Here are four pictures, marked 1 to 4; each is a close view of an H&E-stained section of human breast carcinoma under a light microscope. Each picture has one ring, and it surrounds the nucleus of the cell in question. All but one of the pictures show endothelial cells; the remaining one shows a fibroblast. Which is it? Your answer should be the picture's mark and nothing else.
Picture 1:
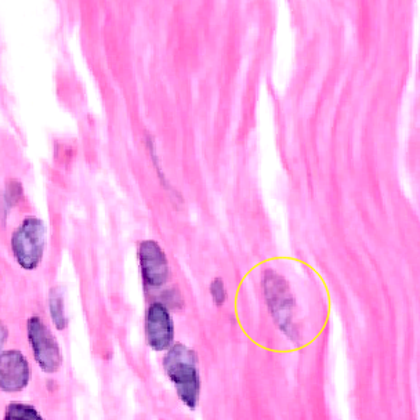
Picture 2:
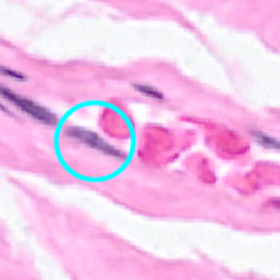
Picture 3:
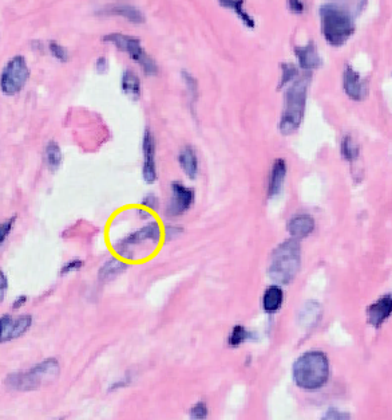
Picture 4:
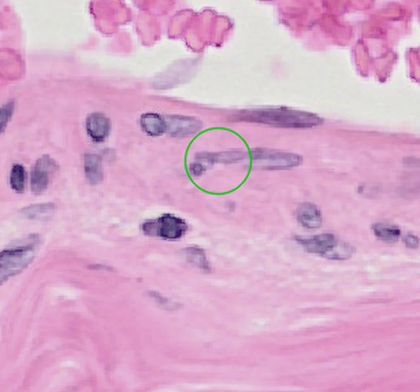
1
